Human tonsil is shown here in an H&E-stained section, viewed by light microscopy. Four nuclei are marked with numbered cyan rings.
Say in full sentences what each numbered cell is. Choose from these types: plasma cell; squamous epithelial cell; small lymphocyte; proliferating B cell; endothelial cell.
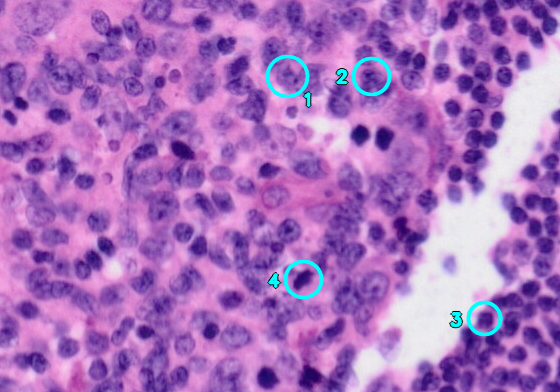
Cells 1, 2 and 4 are proliferating B cells. Cell 3 is a small lymphocyte.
